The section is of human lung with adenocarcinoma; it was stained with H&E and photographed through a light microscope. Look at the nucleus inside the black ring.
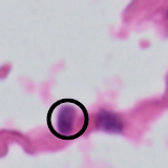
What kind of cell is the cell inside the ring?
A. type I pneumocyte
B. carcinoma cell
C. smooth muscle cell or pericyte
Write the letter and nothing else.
A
